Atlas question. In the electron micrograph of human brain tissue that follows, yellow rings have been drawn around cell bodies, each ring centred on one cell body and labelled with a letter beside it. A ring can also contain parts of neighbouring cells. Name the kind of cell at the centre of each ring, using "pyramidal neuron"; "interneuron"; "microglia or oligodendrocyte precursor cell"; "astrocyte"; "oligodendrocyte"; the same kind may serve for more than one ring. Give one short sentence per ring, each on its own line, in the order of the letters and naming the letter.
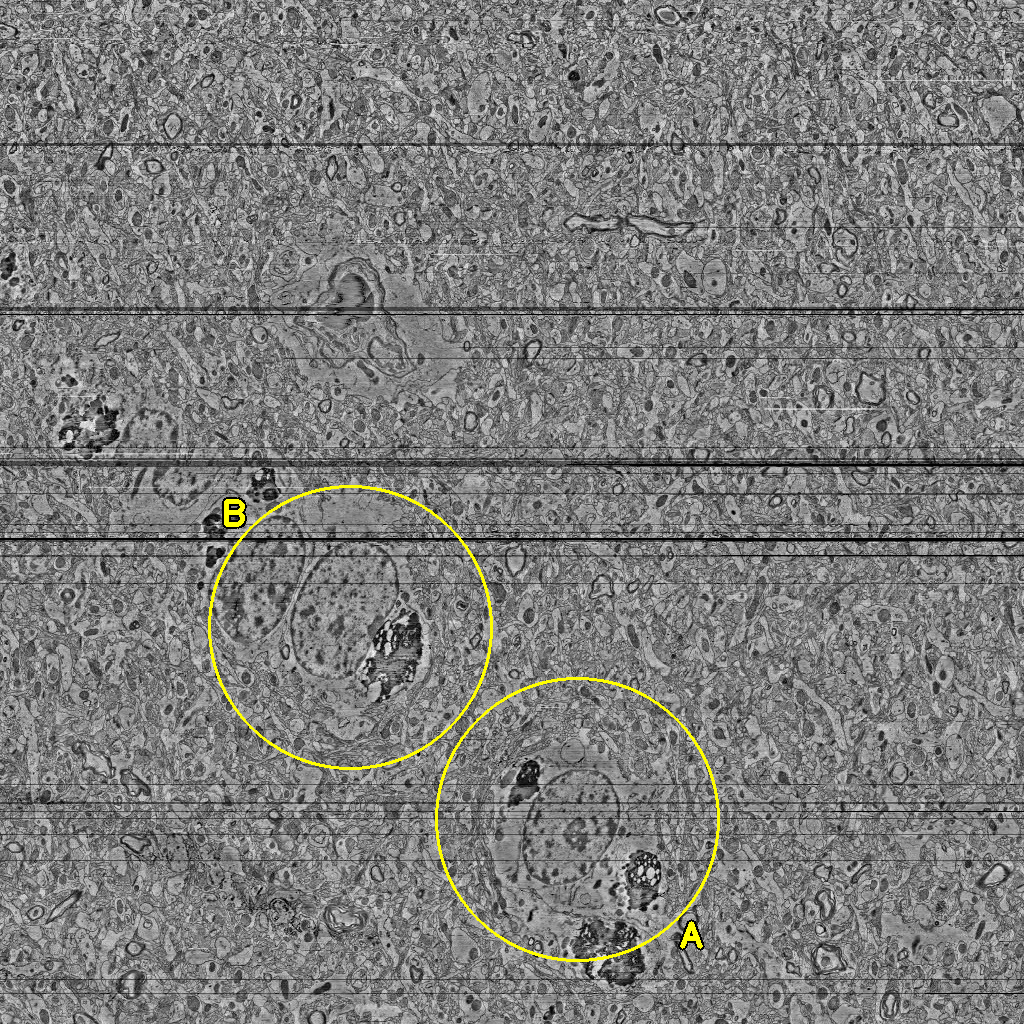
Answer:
For ring A, the cell at the centre is an astrocyte.
For ring B, the cell at the centre is an astrocyte.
